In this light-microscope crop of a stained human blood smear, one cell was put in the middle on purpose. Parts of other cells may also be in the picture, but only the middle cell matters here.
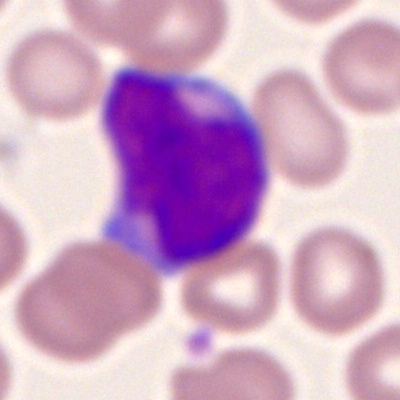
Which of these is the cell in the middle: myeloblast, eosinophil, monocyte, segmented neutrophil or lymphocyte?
myeloblast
